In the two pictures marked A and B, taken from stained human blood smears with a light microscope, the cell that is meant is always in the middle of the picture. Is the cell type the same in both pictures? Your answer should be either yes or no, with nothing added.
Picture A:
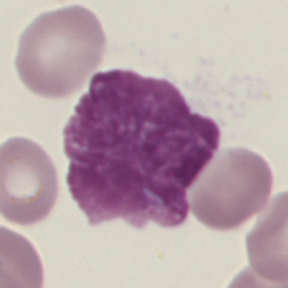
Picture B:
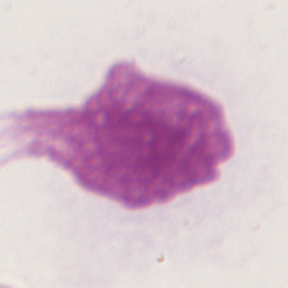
yes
